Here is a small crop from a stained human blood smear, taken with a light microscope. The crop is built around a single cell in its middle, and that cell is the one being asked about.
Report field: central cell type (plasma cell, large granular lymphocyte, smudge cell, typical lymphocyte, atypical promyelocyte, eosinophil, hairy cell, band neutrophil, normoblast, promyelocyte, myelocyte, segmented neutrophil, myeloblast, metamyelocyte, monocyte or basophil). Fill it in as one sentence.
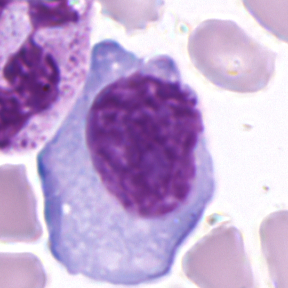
The centrally located cell in the crop is a plasma cell.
